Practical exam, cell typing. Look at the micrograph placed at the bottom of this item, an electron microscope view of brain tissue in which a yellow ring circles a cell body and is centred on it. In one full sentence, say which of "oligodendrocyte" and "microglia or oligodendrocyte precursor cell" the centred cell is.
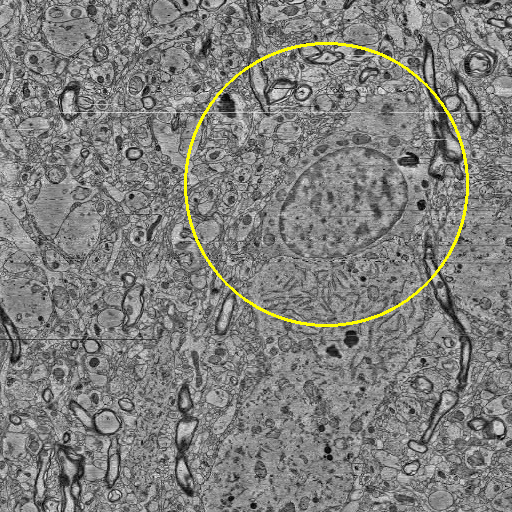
Given the options, an oligodendrocyte fits the cell whose body the yellow ring is centred on.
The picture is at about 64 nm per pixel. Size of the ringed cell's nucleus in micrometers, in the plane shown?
In this plane the nucleus measures roughly 9 by 6 micrometres.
